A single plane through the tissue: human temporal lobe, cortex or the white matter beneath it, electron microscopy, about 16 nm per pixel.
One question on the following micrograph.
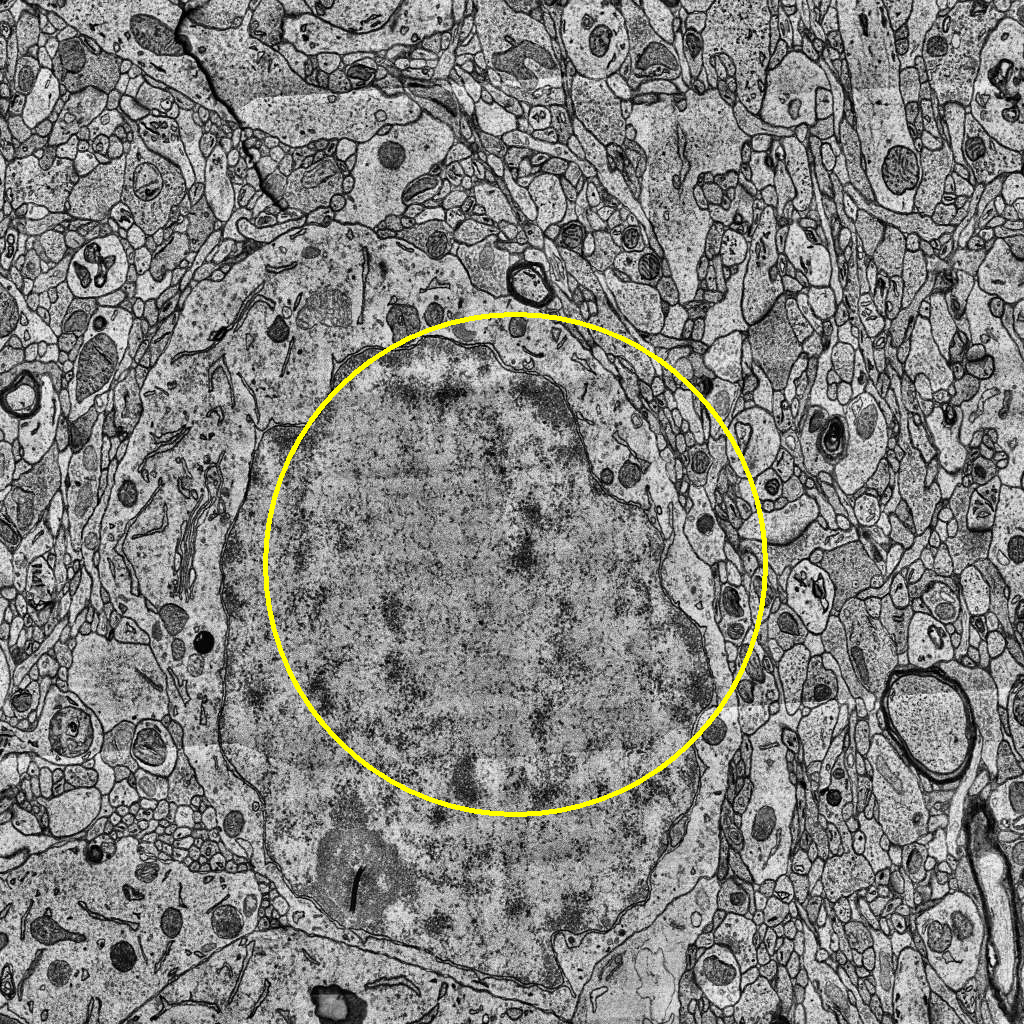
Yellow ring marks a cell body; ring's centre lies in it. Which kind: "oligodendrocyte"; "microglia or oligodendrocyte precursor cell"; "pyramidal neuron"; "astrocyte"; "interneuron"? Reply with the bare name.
interneuron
